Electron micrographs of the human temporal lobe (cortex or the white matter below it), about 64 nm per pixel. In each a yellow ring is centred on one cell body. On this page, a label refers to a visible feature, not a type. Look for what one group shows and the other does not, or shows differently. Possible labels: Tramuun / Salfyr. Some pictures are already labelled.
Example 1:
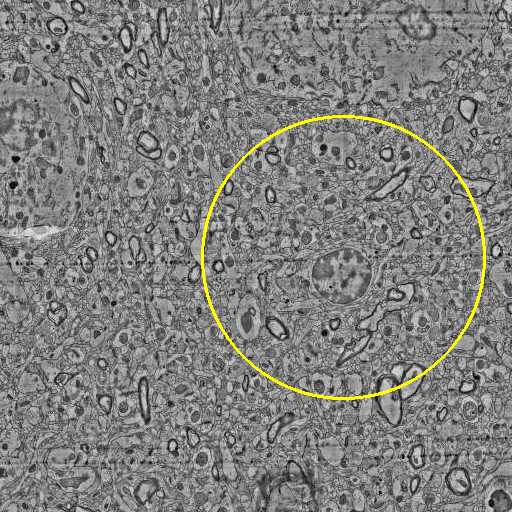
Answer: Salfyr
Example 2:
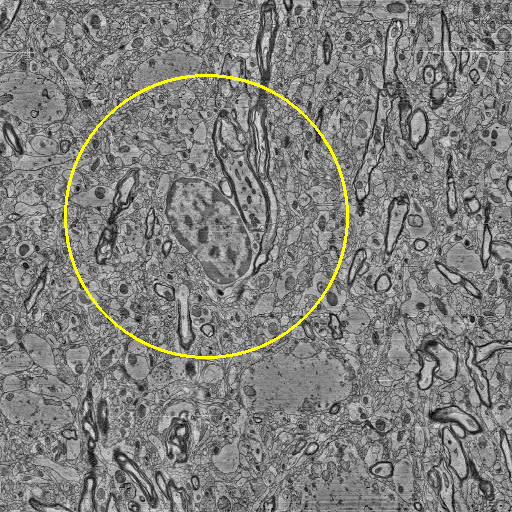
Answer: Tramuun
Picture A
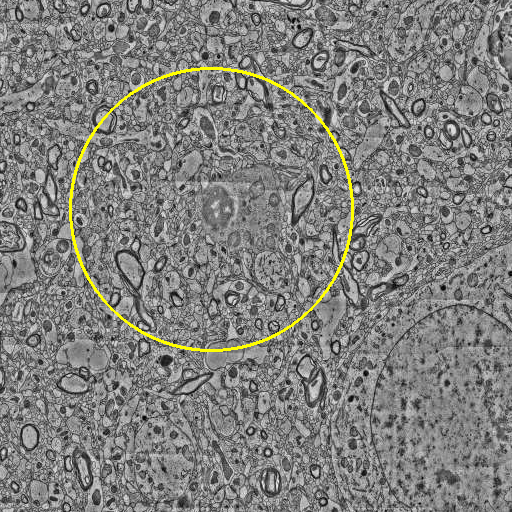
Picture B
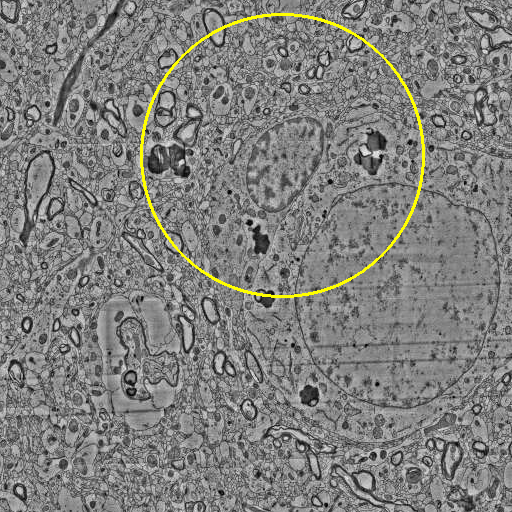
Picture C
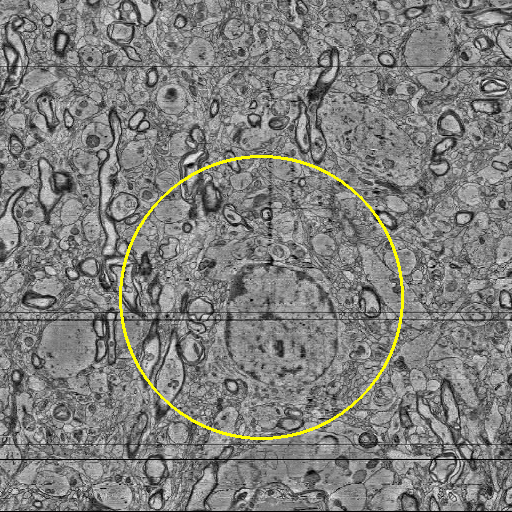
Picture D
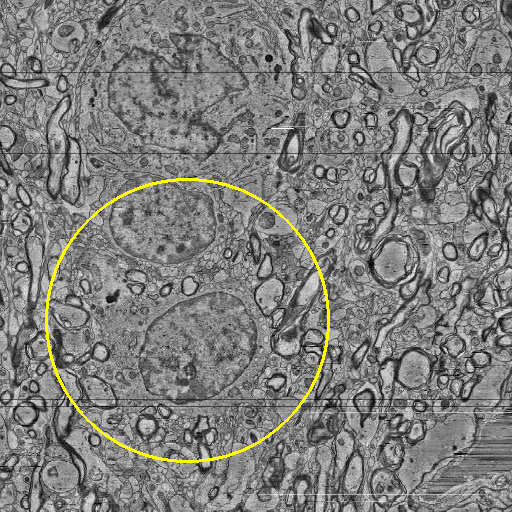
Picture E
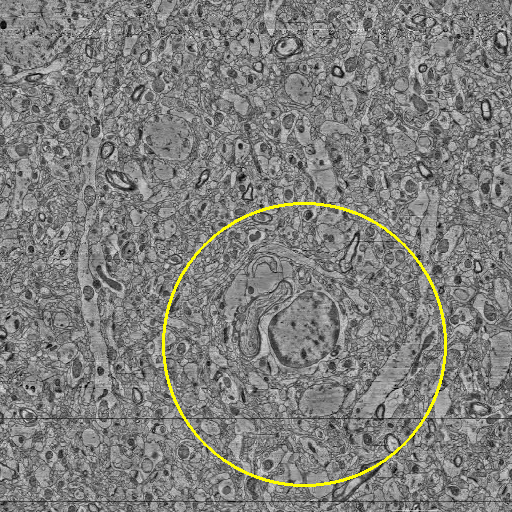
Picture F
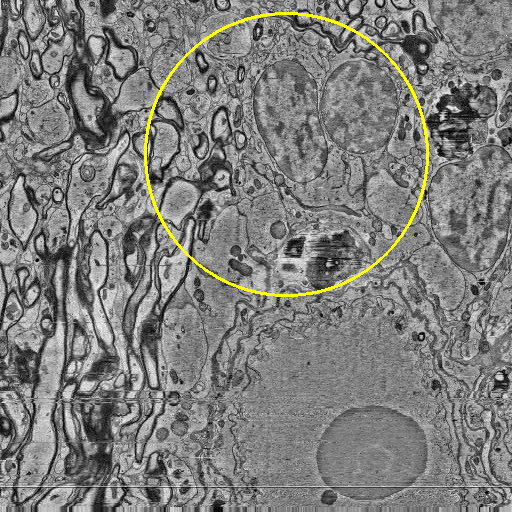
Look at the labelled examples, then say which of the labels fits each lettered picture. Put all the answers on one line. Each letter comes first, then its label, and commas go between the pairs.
A Salfyr, B Tramuun, C Salfyr, D Salfyr, E Salfyr, F Tramuun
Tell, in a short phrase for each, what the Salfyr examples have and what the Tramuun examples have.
Seen in Salfyr: round or nearly round nuclei; seen in Tramuun: clearly elongated nuclei.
